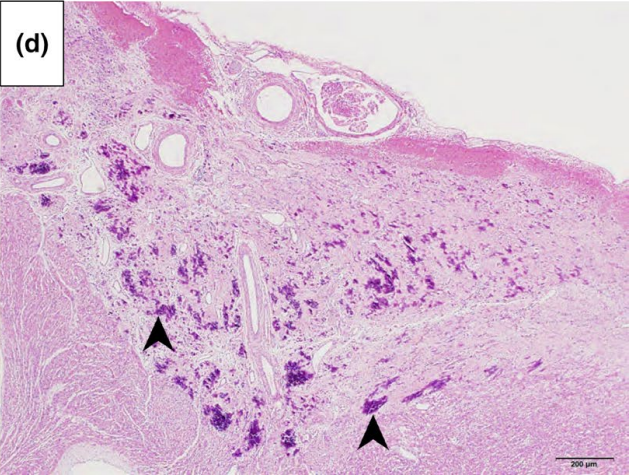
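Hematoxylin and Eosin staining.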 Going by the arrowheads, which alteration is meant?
Calcified area.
